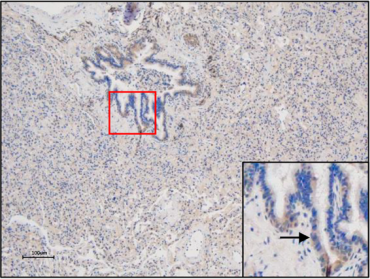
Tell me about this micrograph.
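Lung tissue with a small folded airway lined by bronchial epithelium, set in dense, cellular parenchyma with many blue nuclei. The epithelium forms folds projecting into the lumen. In the magnified inset the lining cells are tall with crowded blue nuclei. Brown staining is only faint and patchy. The surrounding tissue is pale with scattered nuclei and little open air space.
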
